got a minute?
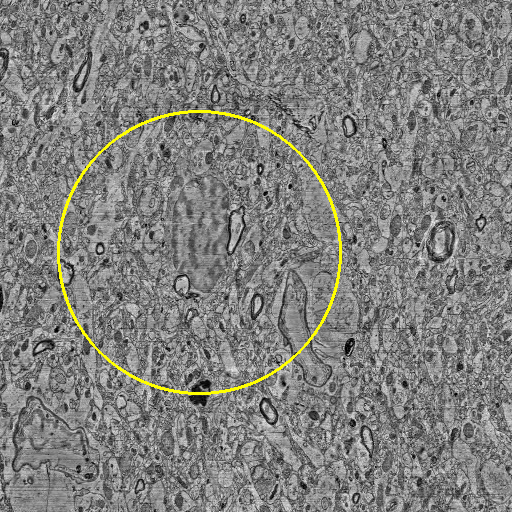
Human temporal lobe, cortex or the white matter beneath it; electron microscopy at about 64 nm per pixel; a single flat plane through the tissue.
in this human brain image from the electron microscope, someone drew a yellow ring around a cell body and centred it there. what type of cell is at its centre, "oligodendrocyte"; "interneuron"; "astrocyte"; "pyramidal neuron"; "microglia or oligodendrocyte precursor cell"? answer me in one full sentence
It's an oligodendrocyte at the middle of that yellow ring in the shot.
